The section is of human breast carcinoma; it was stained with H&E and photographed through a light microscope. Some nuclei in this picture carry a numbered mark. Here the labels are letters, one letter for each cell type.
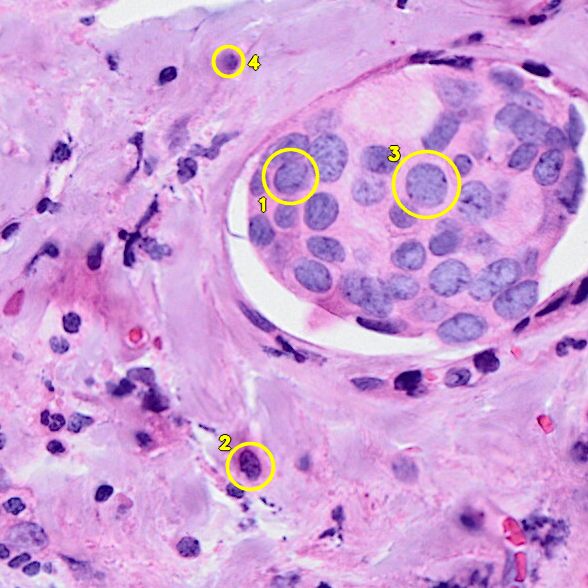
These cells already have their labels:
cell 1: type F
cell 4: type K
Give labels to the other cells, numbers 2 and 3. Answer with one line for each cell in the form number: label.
2: type K
3: type F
